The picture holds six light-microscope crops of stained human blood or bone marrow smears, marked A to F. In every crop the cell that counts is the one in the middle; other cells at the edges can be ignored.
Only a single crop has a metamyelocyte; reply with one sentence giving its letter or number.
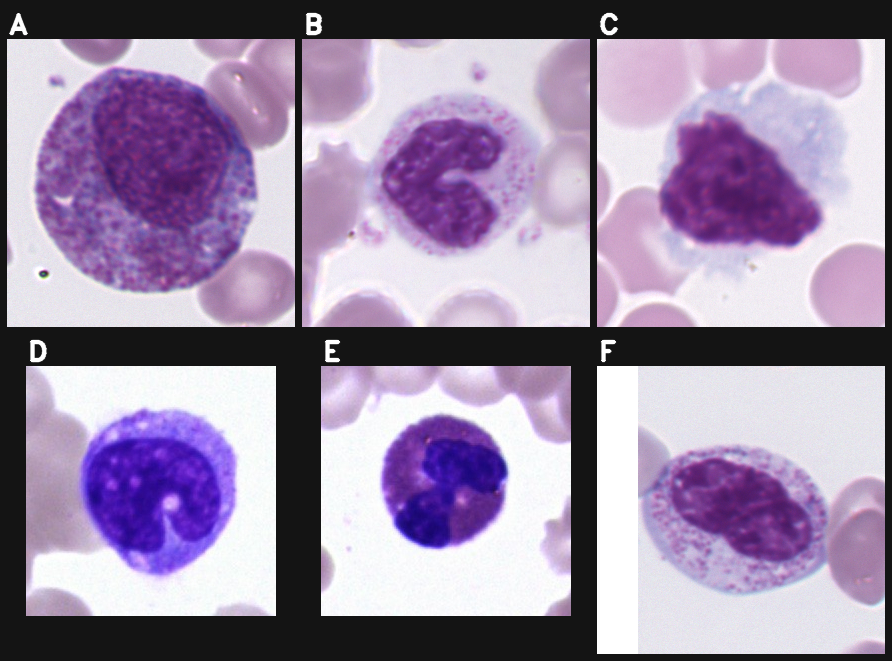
Among these crops, crop F holds a metamyelocyte.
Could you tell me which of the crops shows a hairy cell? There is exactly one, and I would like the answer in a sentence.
Of the crops given, a hairy cell is found in crop C.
